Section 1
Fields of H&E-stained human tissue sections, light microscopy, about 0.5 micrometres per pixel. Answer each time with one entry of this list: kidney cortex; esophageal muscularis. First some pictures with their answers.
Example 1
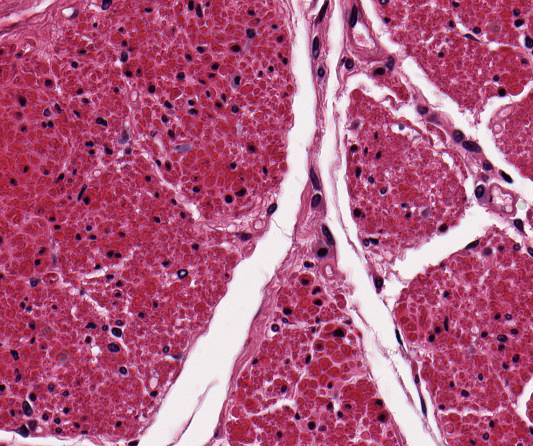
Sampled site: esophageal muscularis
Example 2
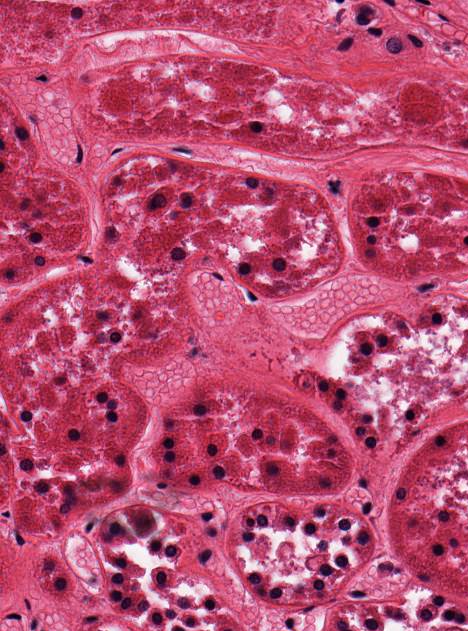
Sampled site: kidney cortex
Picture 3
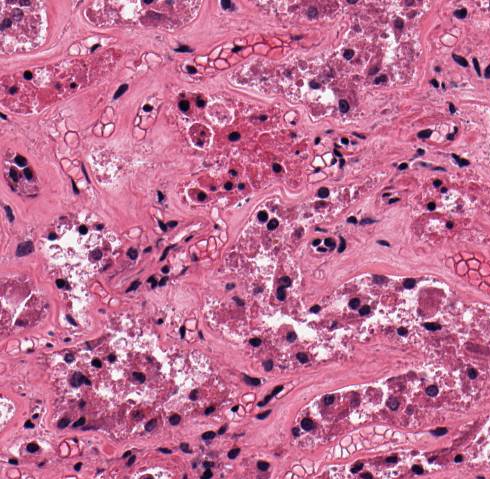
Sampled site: kidney cortex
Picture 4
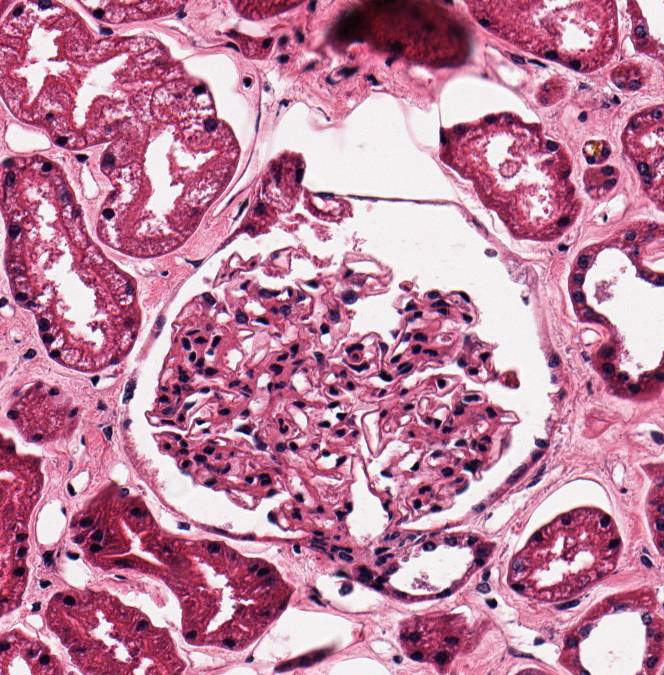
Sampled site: kidney cortex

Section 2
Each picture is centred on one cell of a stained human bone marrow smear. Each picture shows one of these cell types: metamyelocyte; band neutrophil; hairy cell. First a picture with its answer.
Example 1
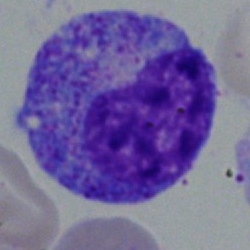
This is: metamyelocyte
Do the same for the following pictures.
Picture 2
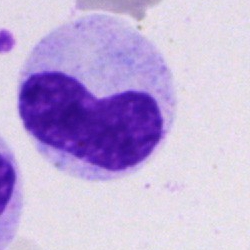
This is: metamyelocyte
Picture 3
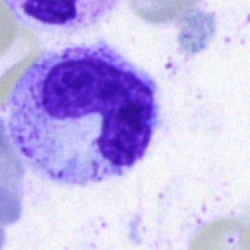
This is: band neutrophil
